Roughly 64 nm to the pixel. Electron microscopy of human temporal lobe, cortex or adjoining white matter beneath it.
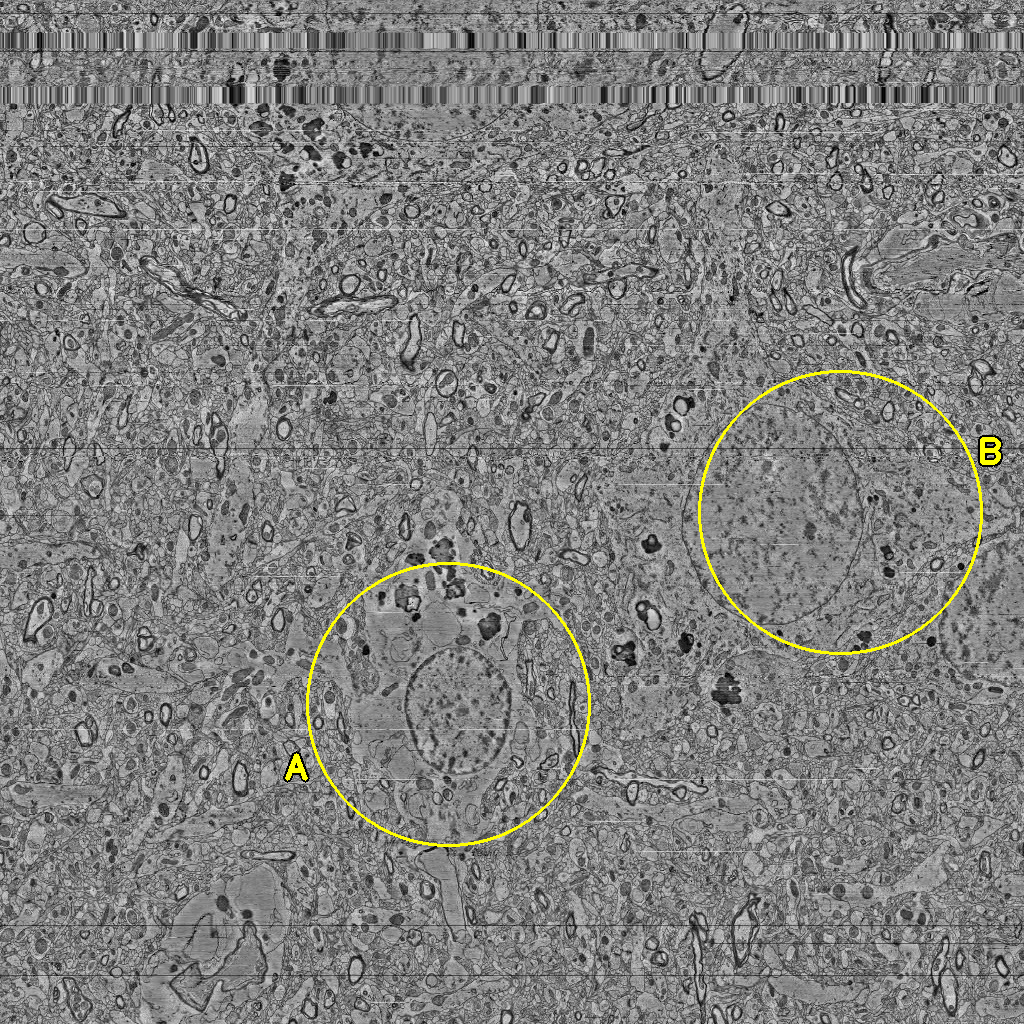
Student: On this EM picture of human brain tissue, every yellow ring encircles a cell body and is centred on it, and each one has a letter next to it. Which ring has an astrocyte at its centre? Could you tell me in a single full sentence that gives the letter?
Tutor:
Ring A is the one drawn around the cell you are asking about.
